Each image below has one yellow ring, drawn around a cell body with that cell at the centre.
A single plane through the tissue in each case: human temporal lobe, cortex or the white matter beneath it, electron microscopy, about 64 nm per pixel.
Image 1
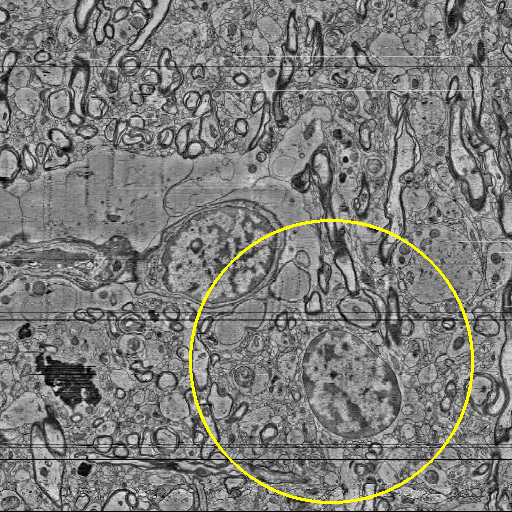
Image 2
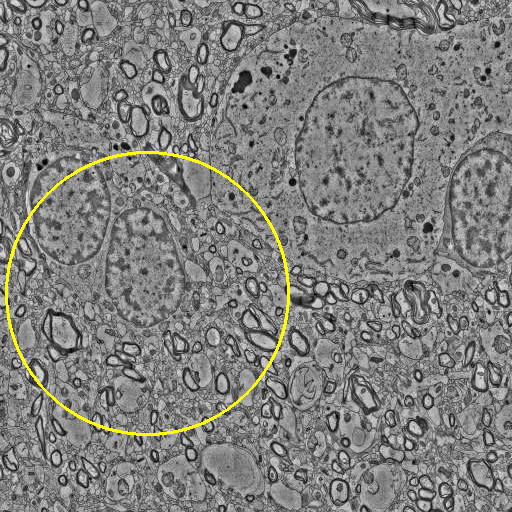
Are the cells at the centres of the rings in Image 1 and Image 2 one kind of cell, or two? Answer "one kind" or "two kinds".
two kinds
